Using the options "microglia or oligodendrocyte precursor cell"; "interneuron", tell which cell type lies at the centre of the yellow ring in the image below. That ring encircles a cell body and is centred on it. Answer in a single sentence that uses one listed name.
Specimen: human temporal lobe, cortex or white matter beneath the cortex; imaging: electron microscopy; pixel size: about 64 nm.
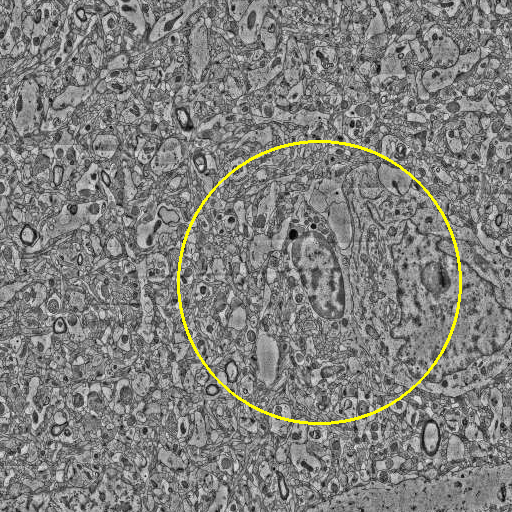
At the centre of the yellow ring lies the body of a microglial cell or oligodendrocyte precursor cell.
